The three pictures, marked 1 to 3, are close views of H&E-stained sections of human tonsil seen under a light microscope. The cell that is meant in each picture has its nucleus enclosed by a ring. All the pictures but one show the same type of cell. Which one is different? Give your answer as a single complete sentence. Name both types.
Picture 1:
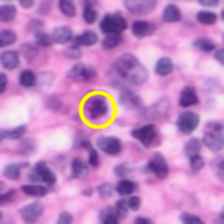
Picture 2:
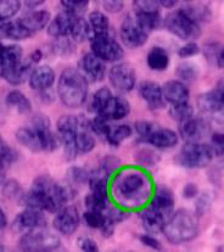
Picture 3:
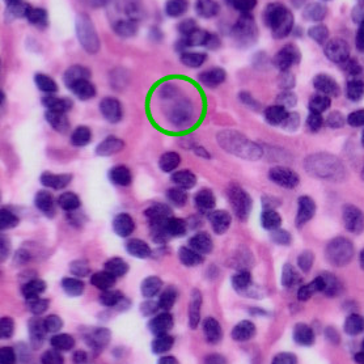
Picture 3 differs, because its cell is an endothelial cell and the rest are proliferating B cells.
